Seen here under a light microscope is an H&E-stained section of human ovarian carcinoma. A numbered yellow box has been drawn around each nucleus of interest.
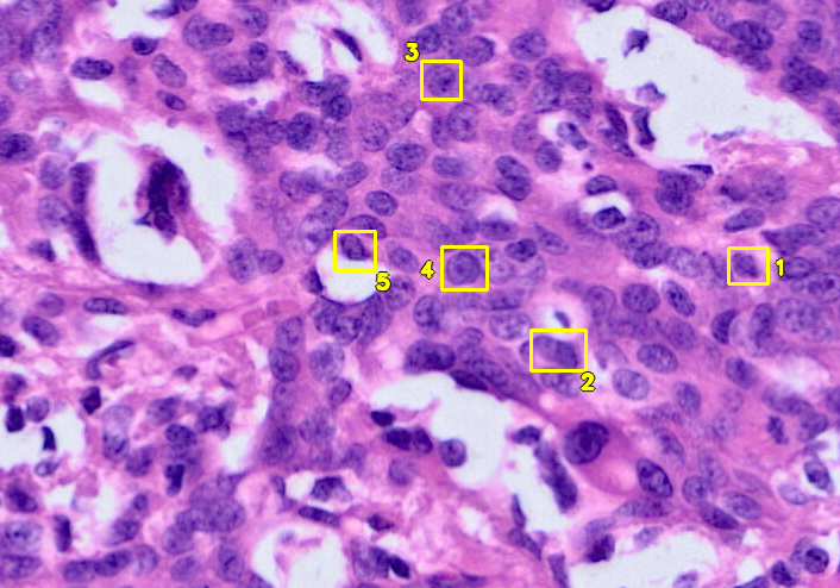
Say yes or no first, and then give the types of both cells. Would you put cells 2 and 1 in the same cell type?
No, cell 2 is a carcinoma cell and cell 1 is a macrophage or monocyte.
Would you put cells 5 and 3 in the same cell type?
No, cell 5 is a macrophage or monocyte and cell 3 is a carcinoma cell.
